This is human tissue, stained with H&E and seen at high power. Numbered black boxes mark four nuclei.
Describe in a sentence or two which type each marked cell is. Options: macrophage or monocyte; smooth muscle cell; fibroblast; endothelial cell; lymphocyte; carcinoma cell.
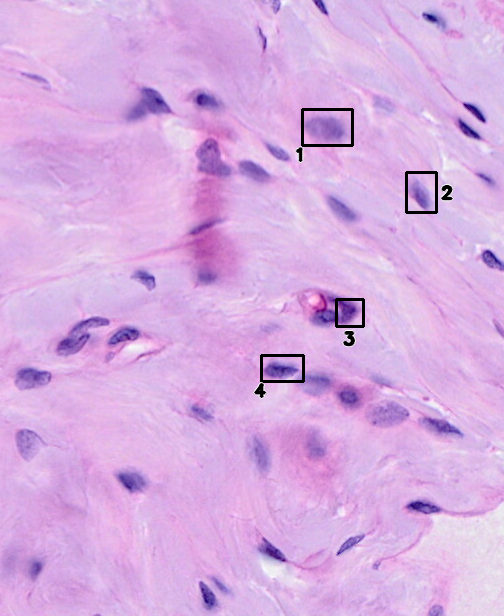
Cell 1 is a fibroblast, cell 2 is a fibroblast, cell 3 is an endothelial cell and cell 4 is a fibroblast.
